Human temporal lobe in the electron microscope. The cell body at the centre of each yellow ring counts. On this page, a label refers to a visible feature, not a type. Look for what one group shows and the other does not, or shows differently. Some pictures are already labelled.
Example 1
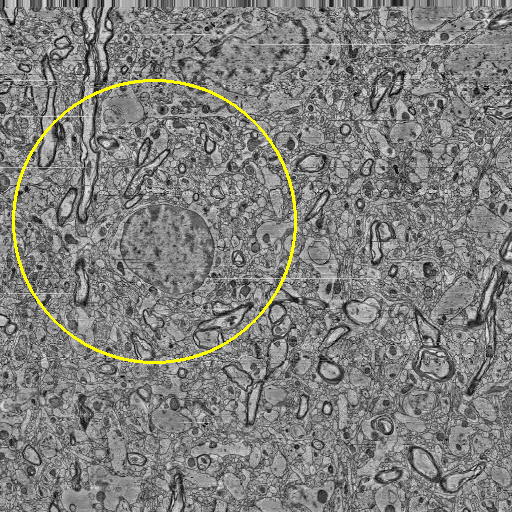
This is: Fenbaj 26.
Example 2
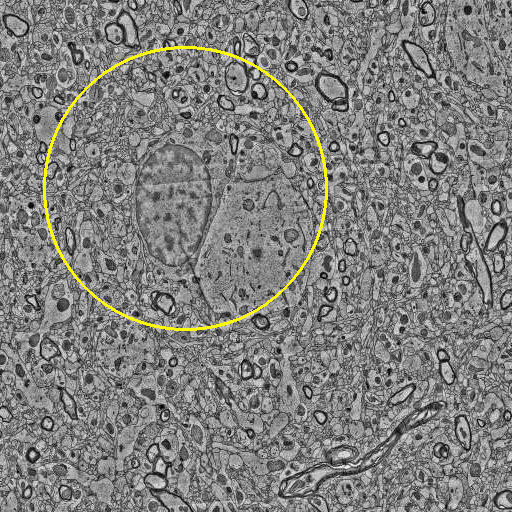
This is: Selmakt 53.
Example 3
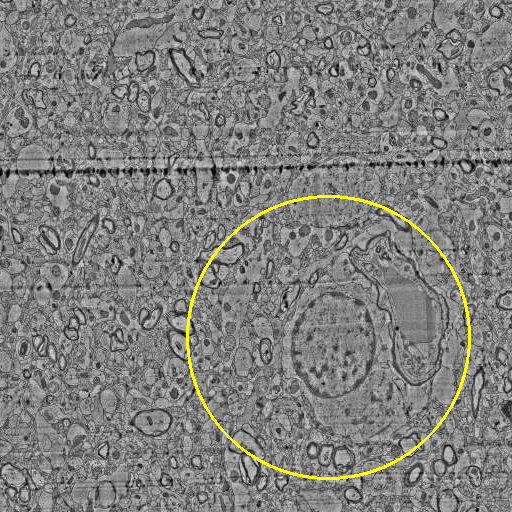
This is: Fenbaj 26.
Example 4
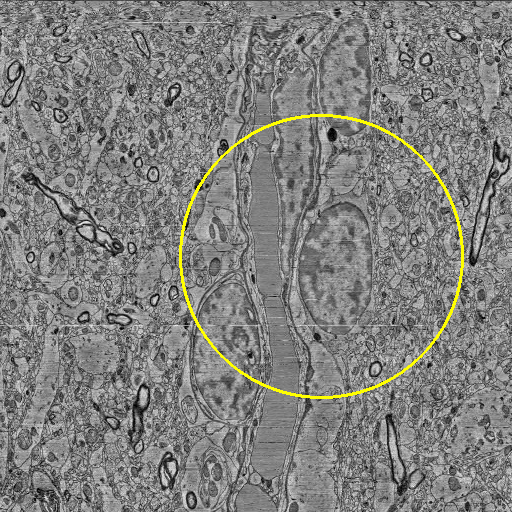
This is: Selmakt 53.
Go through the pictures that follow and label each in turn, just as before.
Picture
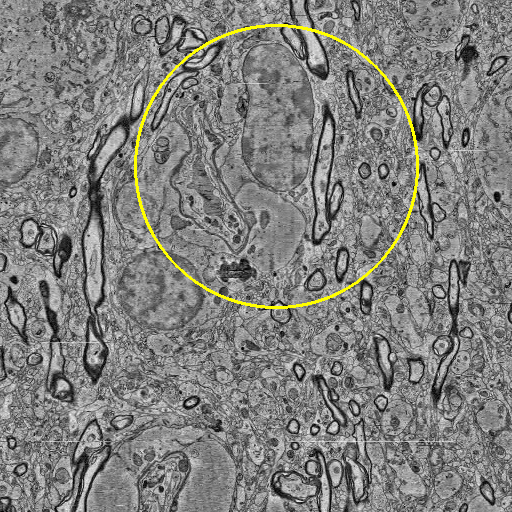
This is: Selmakt 53.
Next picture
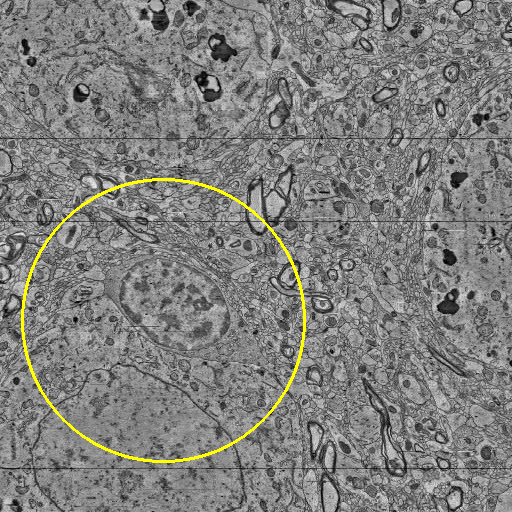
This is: Selmakt 53.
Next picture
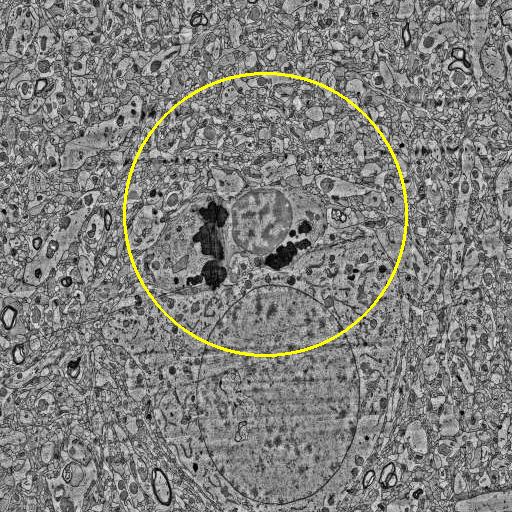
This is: Fenbaj 26.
